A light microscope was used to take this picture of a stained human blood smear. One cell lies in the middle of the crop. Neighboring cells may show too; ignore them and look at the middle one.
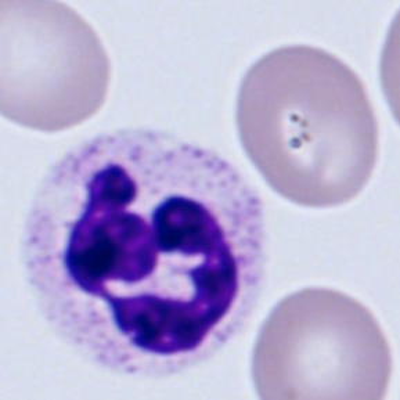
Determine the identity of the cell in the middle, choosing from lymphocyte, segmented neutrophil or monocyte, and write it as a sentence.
The cell of interest, located centrally, is a segmented neutrophil.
